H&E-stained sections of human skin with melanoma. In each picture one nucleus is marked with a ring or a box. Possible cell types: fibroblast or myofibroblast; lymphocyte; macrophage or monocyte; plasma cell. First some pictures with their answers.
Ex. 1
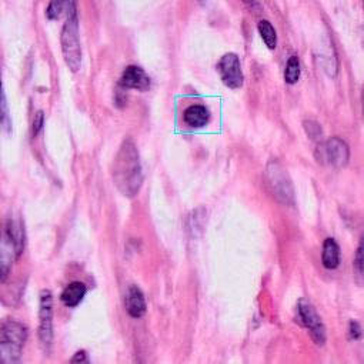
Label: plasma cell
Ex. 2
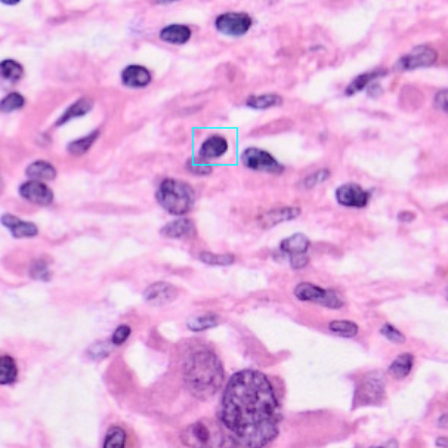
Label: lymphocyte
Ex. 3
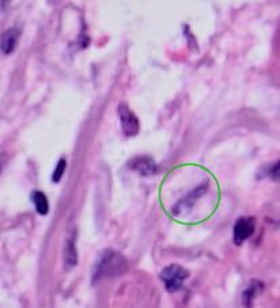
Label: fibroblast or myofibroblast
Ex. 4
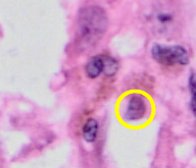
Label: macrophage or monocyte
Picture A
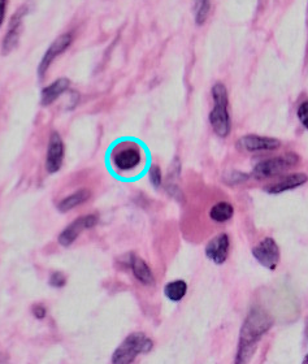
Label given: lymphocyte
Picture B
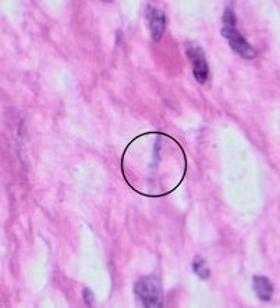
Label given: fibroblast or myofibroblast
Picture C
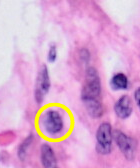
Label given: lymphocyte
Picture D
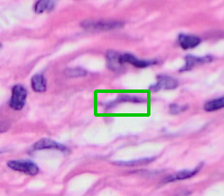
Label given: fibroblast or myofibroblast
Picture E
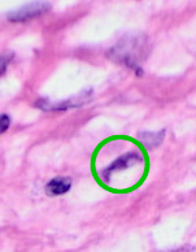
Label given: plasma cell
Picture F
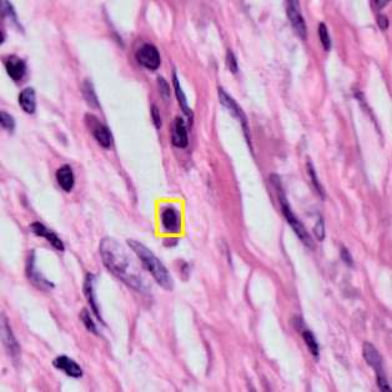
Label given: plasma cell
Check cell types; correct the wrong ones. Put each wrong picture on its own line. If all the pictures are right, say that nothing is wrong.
A: plasma cell, not lymphocyte
E: fibroblast or myofibroblast, not plasma cell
